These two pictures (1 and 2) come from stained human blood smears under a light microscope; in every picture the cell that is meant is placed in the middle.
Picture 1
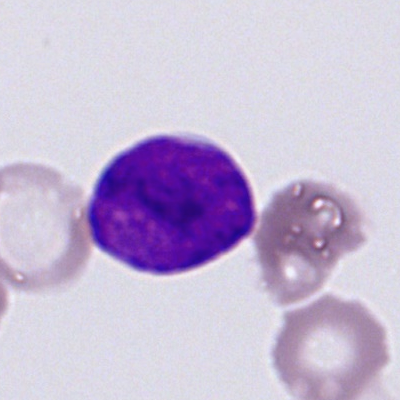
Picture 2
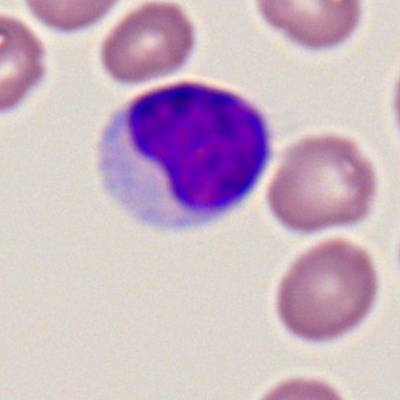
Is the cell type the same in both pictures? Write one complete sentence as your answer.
No, the types are not the same, since picture 1 shows a myeloblast and picture 2 a lymphocyte.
